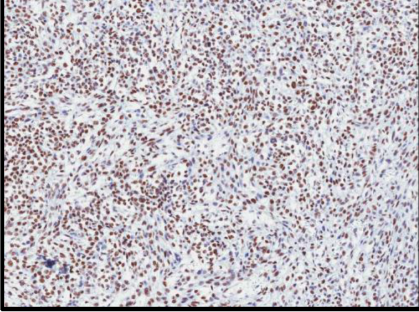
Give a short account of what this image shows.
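The cells are crowded, oval to spindle shaped, and arranged in loose sweeping fascicles and solid sheets. Their nuclei are oval and fairly large; a majority are stained brown, ranging from dark to faint, while others remain pale blue, so that the brown staining is patchy across the field. Cytoplasm is indistinct and unstained. No bone trabeculae are seen in this field, and the tissue appears as a continuous mass of tumour cells.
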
